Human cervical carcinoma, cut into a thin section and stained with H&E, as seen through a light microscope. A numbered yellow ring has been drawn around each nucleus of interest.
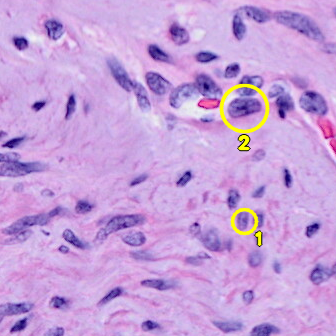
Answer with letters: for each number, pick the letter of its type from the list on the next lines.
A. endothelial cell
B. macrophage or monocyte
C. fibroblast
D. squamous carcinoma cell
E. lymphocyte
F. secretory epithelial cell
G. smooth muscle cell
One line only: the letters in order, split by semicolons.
G; A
